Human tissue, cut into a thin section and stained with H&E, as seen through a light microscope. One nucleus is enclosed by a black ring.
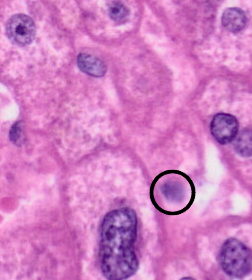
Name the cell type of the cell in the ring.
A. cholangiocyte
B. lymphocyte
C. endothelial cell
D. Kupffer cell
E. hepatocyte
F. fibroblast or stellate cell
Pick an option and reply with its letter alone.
C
